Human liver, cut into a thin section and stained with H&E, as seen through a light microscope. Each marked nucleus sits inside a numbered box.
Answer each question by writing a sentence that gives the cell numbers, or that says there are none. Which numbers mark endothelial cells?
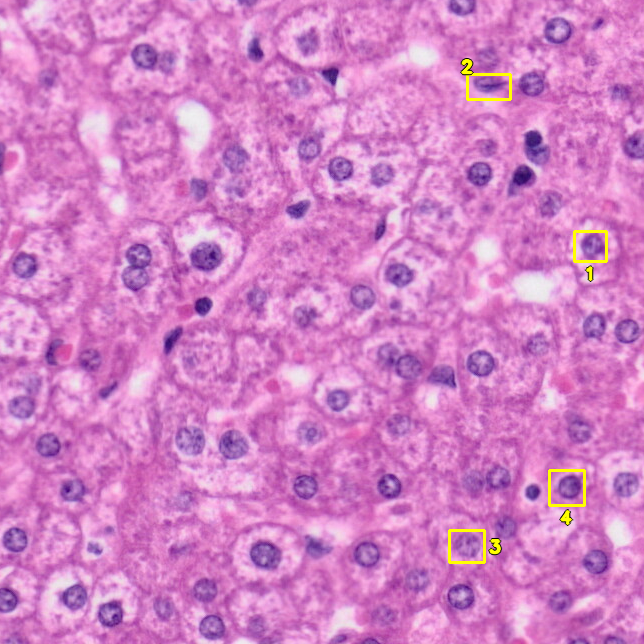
Only one of the numbered nuclei, number 2, belongs to an endothelial cell.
